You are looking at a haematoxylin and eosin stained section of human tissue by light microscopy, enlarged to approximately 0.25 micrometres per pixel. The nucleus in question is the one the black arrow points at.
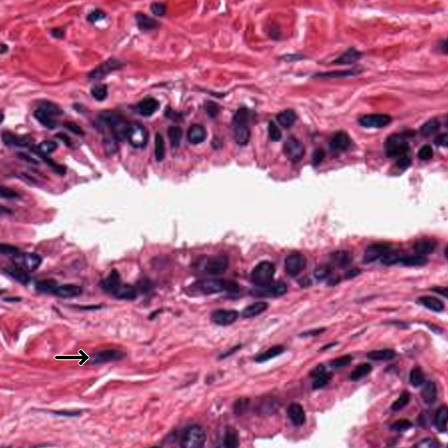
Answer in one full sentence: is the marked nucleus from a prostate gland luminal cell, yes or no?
No, the marked nucleus is not the nucleus of a prostate gland luminal cell.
